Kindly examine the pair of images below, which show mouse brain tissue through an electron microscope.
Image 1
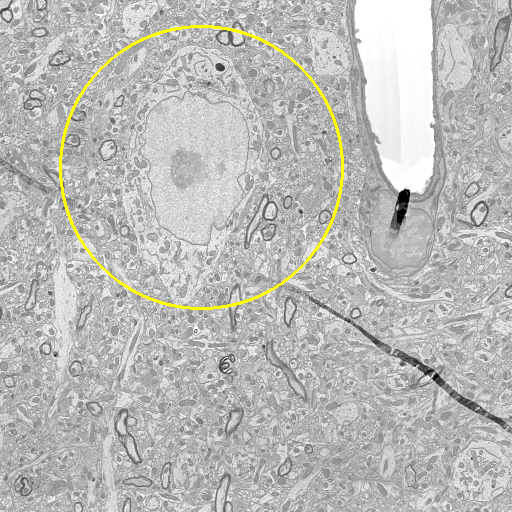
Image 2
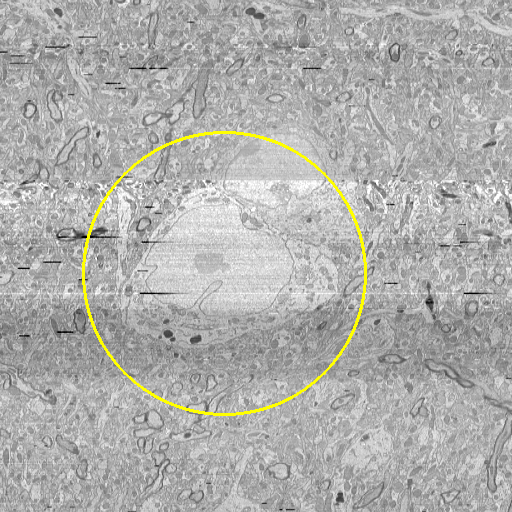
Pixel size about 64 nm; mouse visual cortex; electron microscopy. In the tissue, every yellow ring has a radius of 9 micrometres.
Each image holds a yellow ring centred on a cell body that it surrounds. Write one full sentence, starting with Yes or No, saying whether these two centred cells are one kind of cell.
No, the cells at the centres of the yellow rings belong to two kinds of cell.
